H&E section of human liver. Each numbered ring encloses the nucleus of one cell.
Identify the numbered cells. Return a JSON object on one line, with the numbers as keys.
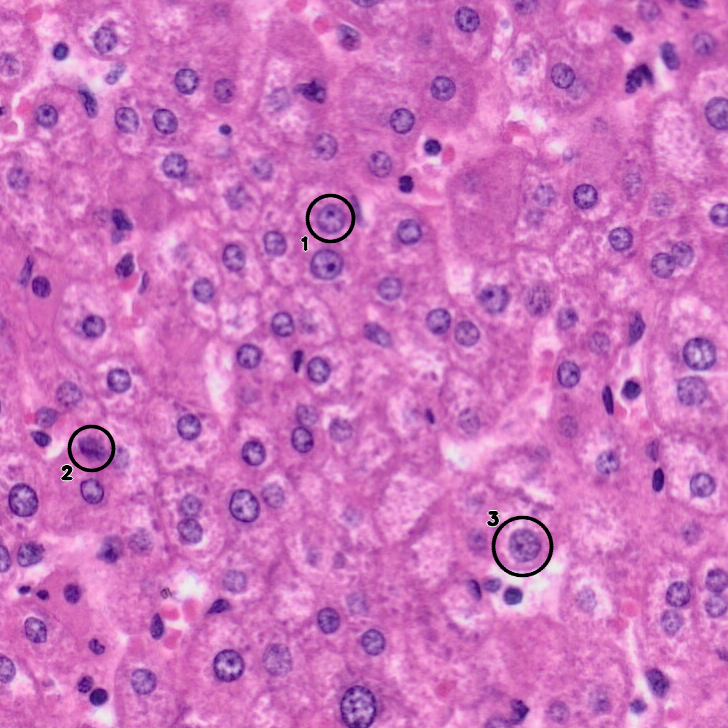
{"1": "hepatocyte", "2": "fibroblast or stellate cell", "3": "hepatocyte"}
